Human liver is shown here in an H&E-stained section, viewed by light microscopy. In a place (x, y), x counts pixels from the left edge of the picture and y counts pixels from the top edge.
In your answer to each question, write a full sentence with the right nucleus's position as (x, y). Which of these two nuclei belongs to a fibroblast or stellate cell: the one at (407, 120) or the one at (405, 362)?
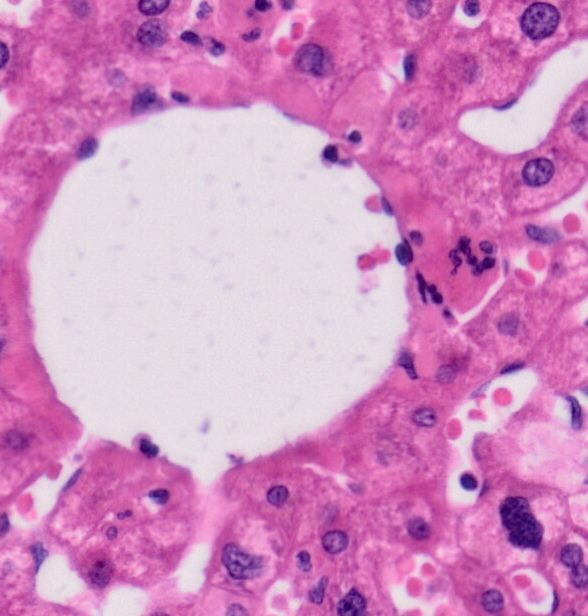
Of the two, the nucleus lying at (405, 362) is the one belonging to a fibroblast or stellate cell.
